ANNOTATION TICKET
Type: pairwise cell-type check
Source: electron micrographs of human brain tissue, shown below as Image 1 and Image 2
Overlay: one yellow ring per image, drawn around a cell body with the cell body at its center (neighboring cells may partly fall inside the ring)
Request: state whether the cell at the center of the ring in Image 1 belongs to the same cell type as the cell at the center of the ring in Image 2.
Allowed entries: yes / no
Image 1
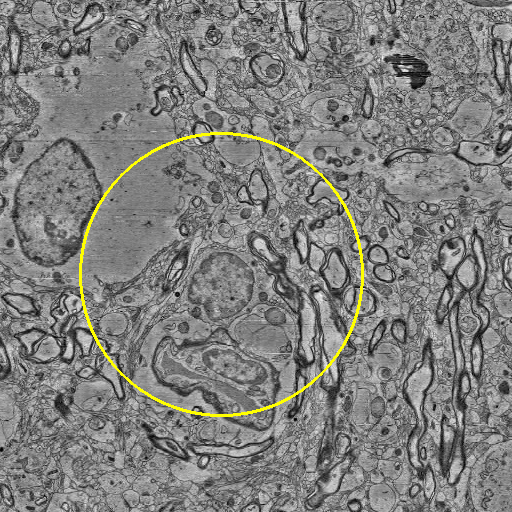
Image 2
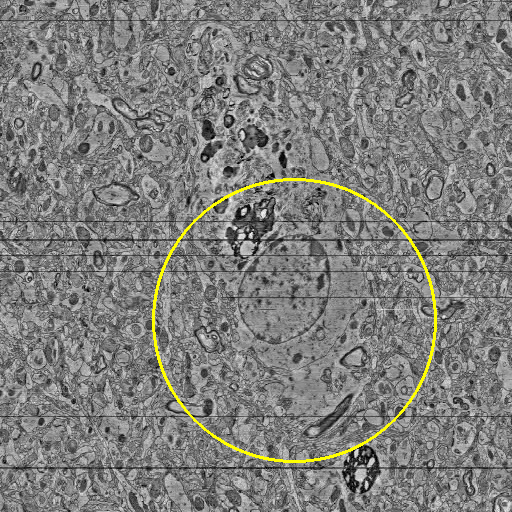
no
